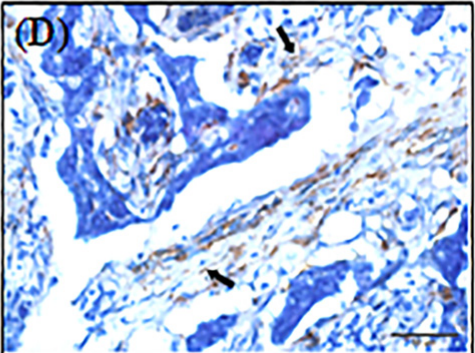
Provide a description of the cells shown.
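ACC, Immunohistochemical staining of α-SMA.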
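In the stroma lie many elongated, spindle-shaped cells with brown stain, arranged in streams along the islands. The tumor cells themselves are largely free of brown stain. Clefts and open spaces separate parts of the islands from the stroma.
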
